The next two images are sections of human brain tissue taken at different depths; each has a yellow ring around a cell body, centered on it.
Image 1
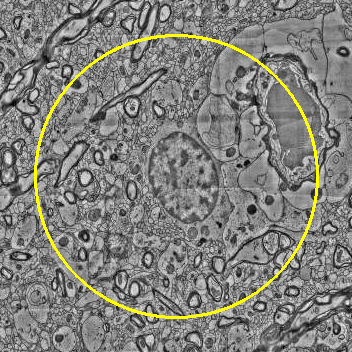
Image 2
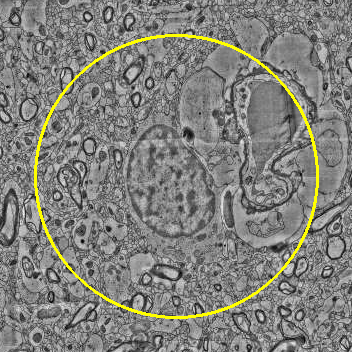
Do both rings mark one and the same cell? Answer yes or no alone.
yes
